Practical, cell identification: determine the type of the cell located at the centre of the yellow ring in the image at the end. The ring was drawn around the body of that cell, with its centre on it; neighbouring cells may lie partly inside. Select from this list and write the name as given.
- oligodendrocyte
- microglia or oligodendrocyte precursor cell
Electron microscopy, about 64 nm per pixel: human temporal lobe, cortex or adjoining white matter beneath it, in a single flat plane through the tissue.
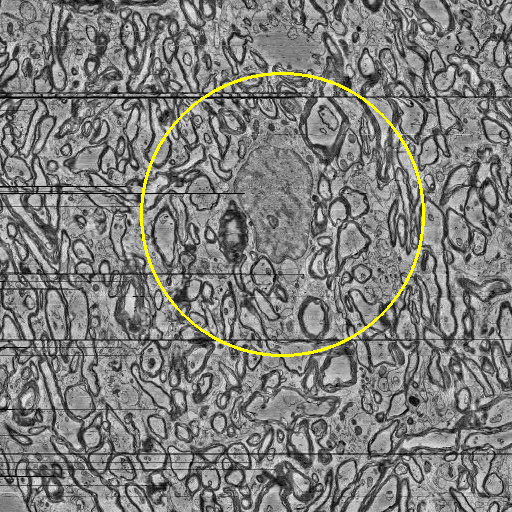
oligodendrocyte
